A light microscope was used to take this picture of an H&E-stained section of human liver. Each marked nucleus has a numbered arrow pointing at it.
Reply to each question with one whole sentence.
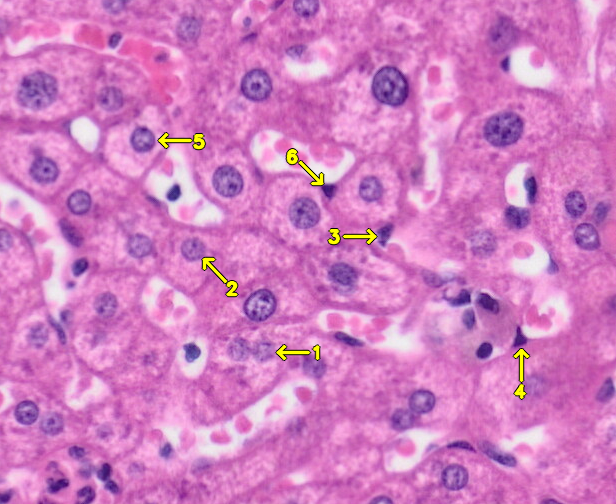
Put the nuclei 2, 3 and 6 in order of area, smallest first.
Smallest first, the nuclei run 6, 3, 2.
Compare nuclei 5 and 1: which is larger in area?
Of the two, number 5 is bigger and takes up about 1.5 times the area of number 1.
